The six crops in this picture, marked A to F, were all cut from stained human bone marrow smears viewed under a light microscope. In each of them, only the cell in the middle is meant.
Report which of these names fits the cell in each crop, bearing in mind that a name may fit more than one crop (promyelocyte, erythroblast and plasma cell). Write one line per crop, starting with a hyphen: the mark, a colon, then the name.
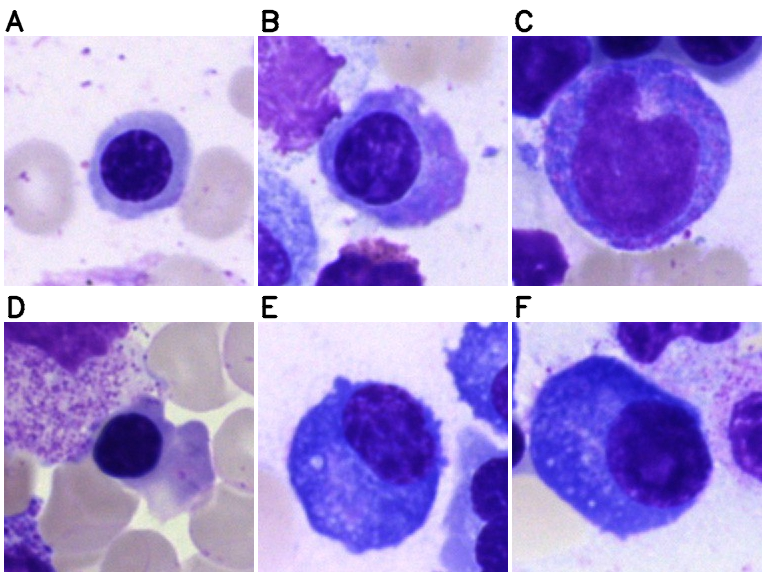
- A: erythroblast
- B: plasma cell
- C: promyelocyte
- D: erythroblast
- E: plasma cell
- F: plasma cell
